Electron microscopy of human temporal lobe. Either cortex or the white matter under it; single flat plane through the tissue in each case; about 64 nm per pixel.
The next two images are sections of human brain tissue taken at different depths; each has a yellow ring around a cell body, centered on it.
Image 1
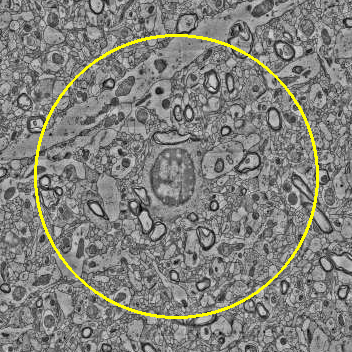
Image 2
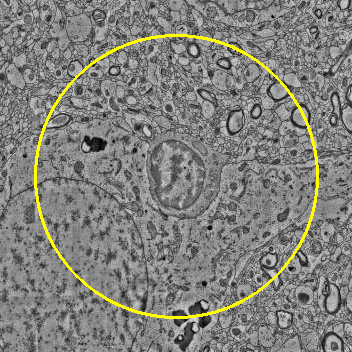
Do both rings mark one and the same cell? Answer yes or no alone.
no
